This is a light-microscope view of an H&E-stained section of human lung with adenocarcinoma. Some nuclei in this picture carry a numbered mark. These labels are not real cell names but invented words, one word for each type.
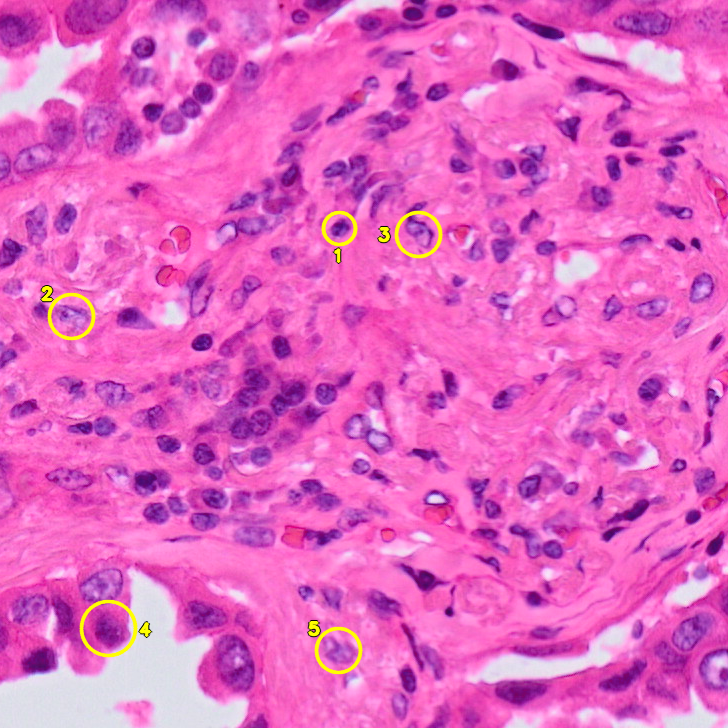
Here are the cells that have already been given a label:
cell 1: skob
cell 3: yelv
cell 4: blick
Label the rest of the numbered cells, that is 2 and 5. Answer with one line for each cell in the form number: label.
2: yelv
5: yelv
